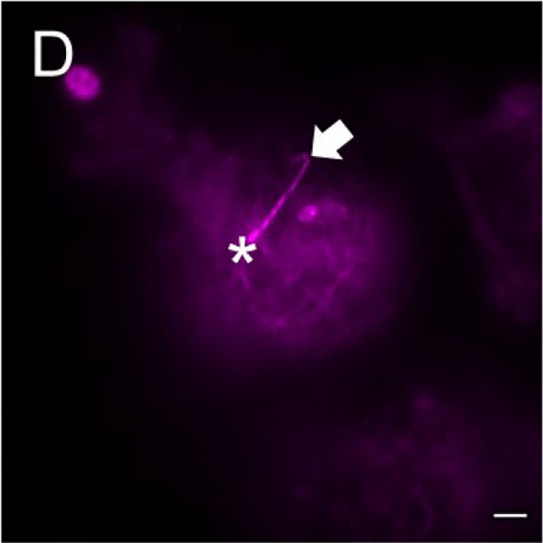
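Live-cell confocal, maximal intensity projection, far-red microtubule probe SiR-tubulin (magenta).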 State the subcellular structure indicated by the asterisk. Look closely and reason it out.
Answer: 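The asterisk marks the proximal end of the thin rod, where it meets the cell body.
Hence: centrioles.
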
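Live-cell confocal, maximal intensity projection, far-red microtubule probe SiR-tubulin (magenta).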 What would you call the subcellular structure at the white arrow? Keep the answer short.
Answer: Primary cilia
